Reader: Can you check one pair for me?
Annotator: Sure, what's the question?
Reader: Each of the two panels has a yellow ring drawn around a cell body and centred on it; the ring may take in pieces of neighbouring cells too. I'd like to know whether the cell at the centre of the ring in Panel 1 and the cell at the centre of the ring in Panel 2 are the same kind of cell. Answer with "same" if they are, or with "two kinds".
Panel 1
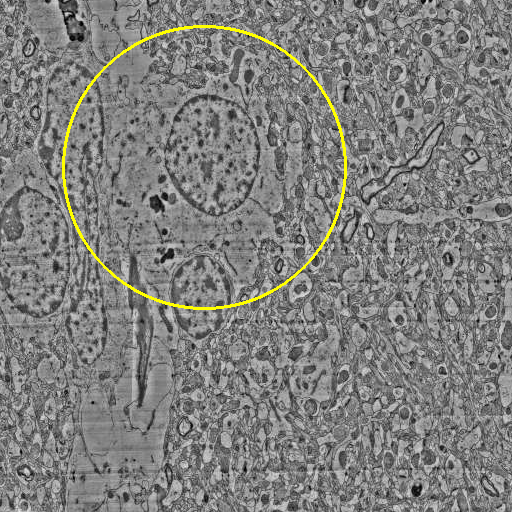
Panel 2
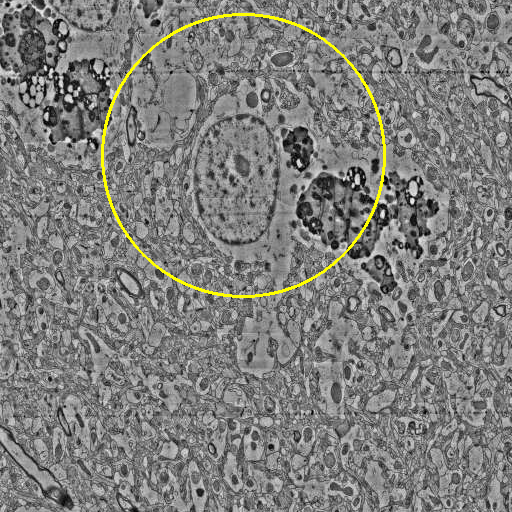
same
